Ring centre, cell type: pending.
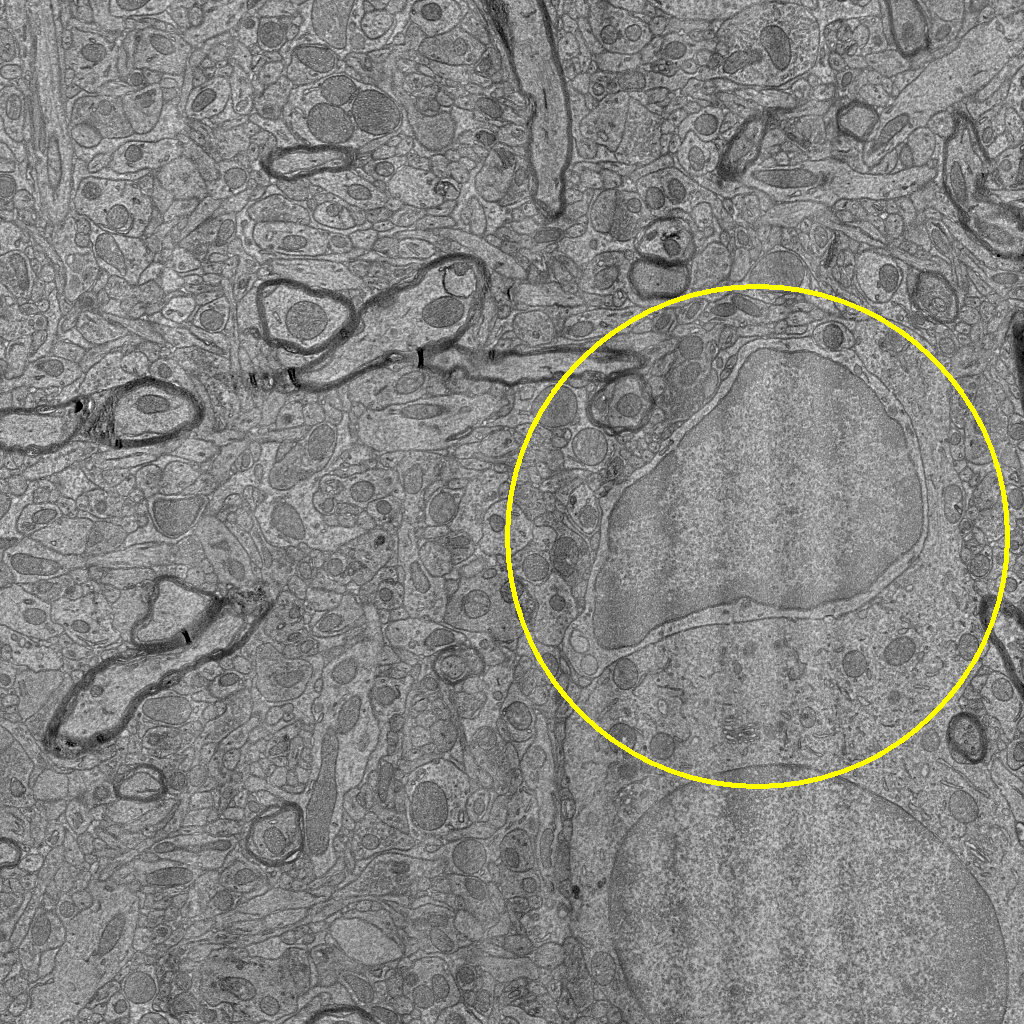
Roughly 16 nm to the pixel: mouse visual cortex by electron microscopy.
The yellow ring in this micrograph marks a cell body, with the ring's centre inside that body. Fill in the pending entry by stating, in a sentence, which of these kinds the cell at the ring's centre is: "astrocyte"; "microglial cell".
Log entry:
The cell at the ring's centre is recorded as a microglial cell.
